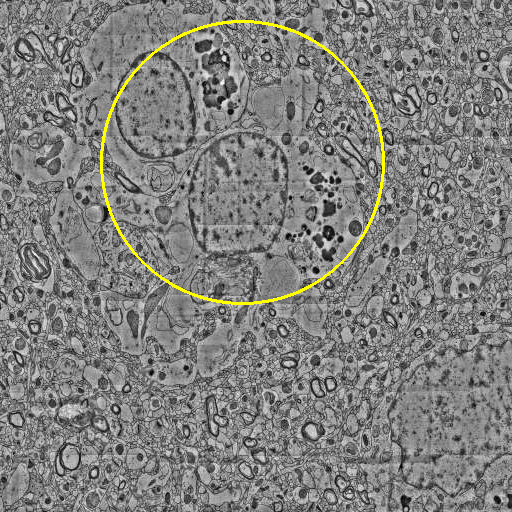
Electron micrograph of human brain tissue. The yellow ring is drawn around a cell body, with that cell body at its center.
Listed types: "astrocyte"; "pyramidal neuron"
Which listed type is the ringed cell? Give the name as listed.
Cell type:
astrocyte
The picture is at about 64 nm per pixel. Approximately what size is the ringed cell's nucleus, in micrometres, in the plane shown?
About 8 micrometres by about 7 micrometres in this plane.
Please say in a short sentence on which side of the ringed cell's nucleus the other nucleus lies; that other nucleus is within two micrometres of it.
That other nucleus appears to the upper left of it.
